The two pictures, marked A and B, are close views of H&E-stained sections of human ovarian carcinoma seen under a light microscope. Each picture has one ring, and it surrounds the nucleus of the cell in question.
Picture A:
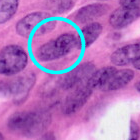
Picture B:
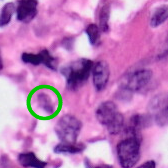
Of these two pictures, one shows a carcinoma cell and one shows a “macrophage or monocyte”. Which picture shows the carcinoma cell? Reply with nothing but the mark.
A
